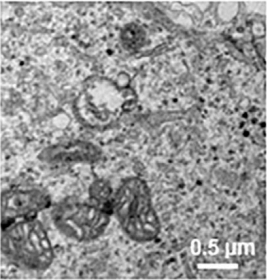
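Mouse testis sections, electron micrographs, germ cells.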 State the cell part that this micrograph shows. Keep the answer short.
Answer: Orthodox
